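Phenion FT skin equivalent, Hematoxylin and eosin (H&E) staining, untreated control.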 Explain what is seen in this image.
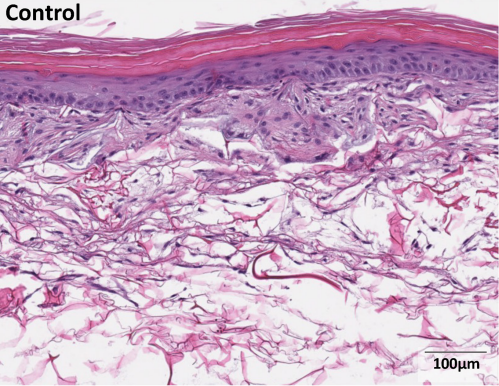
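At the top lies a compact, bright pink cornified layer made of thin stacked sheets. Beneath it is a band of several layers of keratinocytes with dark purple nuclei, flatter near the surface and more crowded toward the base. The lower part of the image is a loose dermis of pink, wavy fibres with wide clear spaces and scattered small, elongated nuclei. Just under the epidermis the dermis is denser and more cellular than deeper down.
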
